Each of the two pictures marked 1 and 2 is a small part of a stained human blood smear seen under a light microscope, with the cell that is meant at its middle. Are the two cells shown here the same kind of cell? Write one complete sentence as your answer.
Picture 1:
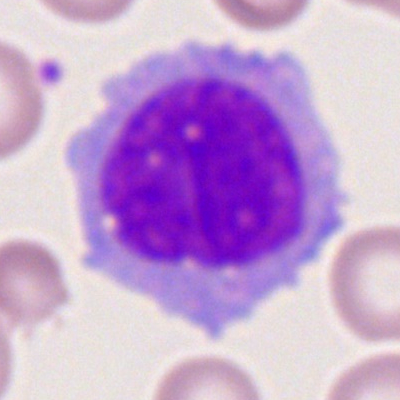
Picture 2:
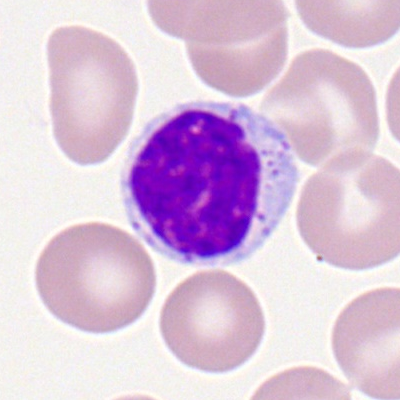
No, picture 1 shows a monocyte and picture 2 shows a lymphocyte.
